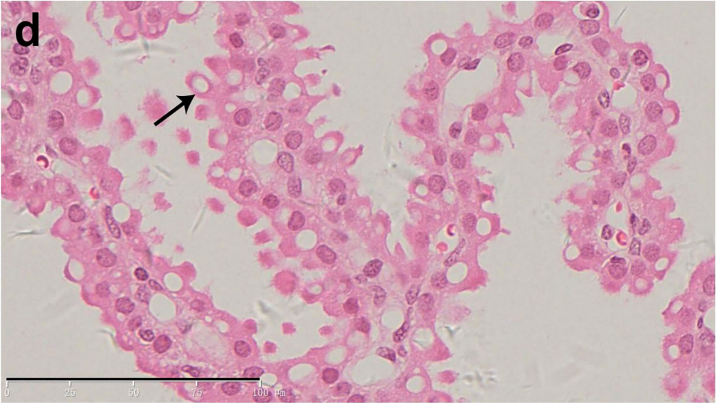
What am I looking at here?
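Folded fronds of choroid plexus epithelium, each a single layer of cuboidal epithelial cells covering a thin core of connective tissue with capillaries holding red blood cells. The cells have round, centrally placed nuclei with fine chromatin and visible nucleoli, and pink cytoplasm. Many cells contain round, sharply outlined clear vacuoles of varying size, often several in one cell and some nearly as large as the nucleus, giving the layer a bubbly appearance. The apical surfaces of the cells bulge irregularly into the surrounding space, where small detached pink fragments lie.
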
